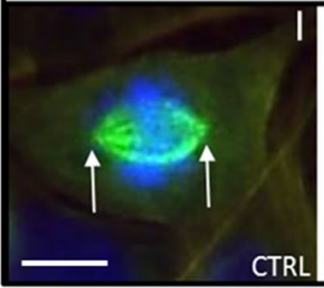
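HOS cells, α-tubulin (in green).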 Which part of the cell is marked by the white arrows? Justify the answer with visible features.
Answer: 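Each arrow points to a spot where green fibres converge. The two arrowed spots lie on opposite sides of the blue chromatin. So: mitotic spindle poles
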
